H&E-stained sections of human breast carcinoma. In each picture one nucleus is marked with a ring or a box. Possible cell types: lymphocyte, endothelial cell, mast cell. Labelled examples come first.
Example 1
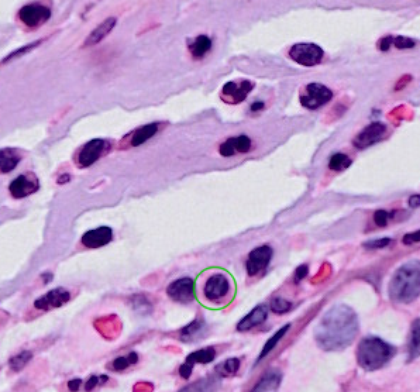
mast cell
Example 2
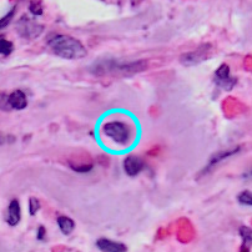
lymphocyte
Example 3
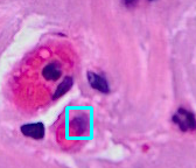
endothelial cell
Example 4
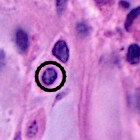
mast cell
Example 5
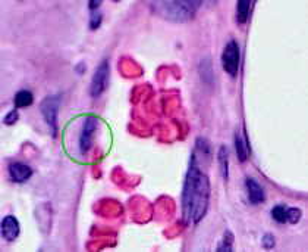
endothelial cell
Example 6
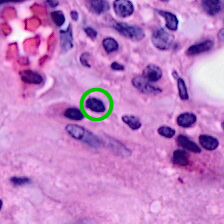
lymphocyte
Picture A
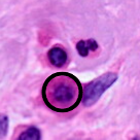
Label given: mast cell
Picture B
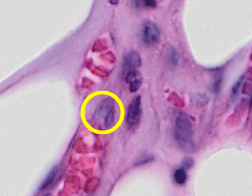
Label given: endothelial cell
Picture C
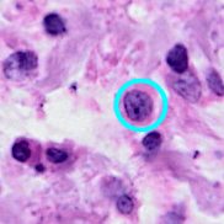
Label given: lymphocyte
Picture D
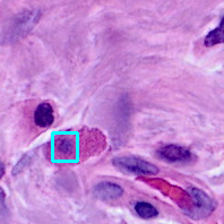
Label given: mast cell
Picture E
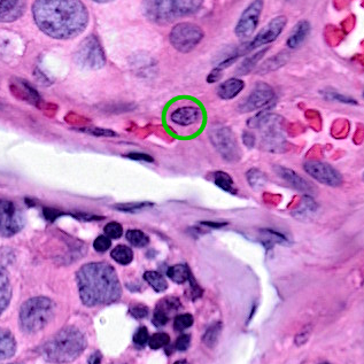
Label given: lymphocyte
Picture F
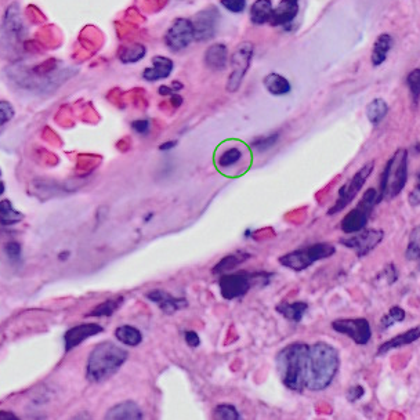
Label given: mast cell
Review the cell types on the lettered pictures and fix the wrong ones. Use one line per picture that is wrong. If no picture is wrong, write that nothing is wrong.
C: mast cell, not lymphocyte
E: mast cell, not lymphocyte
